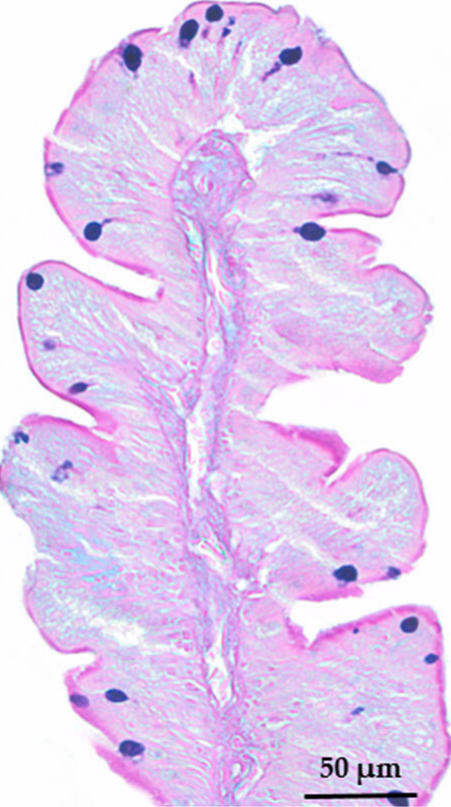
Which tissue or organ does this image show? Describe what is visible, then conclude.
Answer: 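Intestine. Mucosal folds with a thin central connective tissue core. Folds lined by a tall columnar epithelium with a magenta apical border. Scattered goblet-shaped mucous cells within the epithelium.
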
